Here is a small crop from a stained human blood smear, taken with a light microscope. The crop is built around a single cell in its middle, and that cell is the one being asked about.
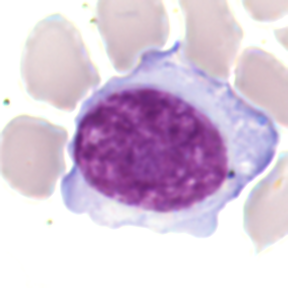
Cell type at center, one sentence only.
The cell under consideration, at the middle of the crop, is a plasma cell.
